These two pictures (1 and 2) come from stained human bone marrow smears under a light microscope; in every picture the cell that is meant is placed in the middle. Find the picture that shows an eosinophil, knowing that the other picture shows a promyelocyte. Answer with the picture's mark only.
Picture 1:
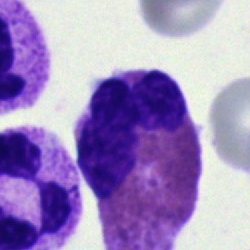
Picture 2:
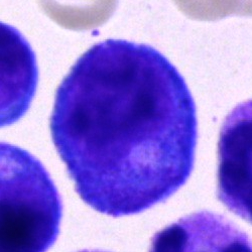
1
